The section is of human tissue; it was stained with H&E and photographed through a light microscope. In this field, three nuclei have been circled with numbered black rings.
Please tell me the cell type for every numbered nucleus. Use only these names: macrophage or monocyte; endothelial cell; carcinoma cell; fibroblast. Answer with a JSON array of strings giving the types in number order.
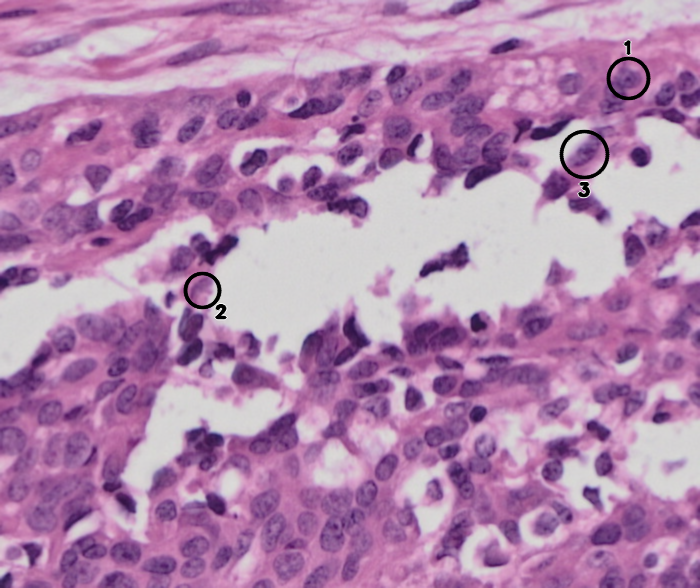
["carcinoma cell", "macrophage or monocyte", "carcinoma cell"]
